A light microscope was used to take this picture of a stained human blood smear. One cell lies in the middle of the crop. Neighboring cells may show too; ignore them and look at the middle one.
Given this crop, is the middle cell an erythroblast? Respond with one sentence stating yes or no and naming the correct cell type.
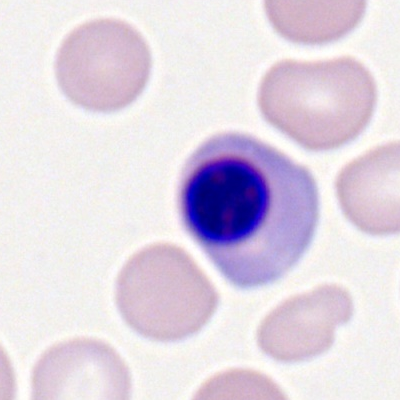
Yes, the central element of the crop is an erythroblast.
